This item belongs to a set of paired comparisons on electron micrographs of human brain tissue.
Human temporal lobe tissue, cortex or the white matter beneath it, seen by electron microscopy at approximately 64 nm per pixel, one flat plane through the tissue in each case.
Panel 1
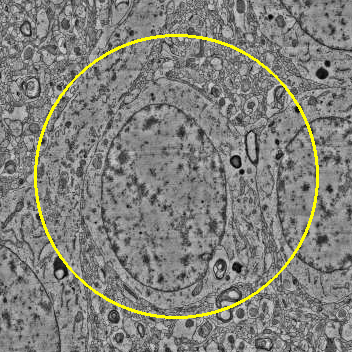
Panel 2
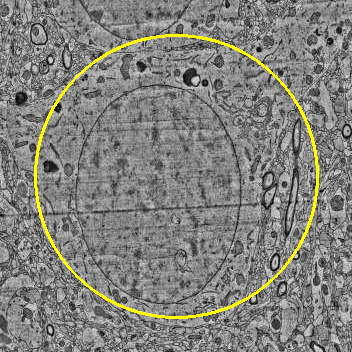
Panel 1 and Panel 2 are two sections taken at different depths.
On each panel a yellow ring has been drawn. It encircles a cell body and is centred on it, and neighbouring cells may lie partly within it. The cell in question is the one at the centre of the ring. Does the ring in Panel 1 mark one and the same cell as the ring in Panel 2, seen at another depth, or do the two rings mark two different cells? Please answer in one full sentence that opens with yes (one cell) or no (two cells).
No, the two rings indicate two different cells, not one.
